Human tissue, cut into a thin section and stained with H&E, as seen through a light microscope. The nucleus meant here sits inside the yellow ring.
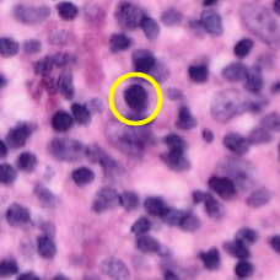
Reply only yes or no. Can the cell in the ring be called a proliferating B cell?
yes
